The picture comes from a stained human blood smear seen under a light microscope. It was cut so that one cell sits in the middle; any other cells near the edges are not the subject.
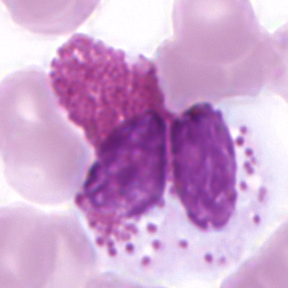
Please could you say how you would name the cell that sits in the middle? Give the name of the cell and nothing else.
eosinophil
